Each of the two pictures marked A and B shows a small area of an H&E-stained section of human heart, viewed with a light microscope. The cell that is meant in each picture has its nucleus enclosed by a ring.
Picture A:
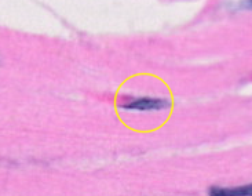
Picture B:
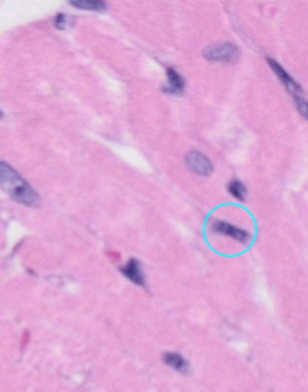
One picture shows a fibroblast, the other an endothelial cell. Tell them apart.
A: endothelial cell
B: fibroblast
